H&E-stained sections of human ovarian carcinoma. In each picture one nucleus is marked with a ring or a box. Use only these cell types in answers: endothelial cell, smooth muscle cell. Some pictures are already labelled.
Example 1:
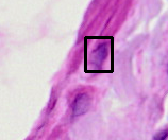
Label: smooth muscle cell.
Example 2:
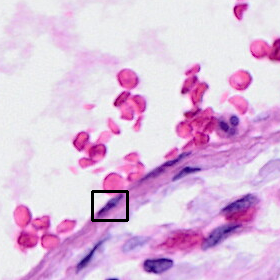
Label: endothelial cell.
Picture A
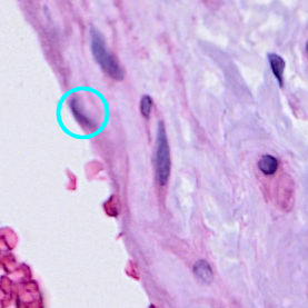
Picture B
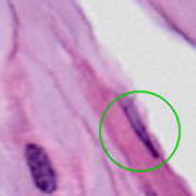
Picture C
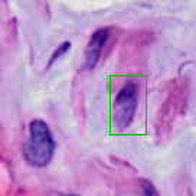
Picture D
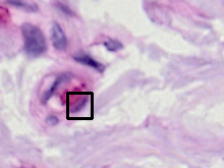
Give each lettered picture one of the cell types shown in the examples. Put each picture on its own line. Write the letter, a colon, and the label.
A: endothelial cell.
B: smooth muscle cell.
C: smooth muscle cell.
D: endothelial cell.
